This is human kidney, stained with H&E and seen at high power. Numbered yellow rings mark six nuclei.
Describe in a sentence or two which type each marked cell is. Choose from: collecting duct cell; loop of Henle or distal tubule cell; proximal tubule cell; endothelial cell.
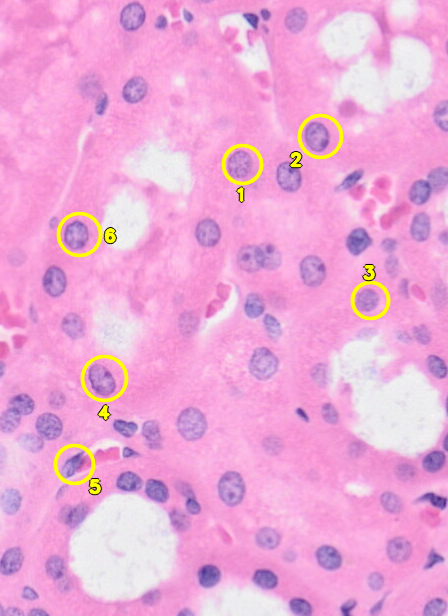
Cell 1 is a proximal tubule cell, cell 2 is a proximal tubule cell, cell 3 is a loop of Henle or distal tubule cell, cell 4 is a proximal tubule cell, cell 5 is an endothelial cell and cell 6 is a proximal tubule cell.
